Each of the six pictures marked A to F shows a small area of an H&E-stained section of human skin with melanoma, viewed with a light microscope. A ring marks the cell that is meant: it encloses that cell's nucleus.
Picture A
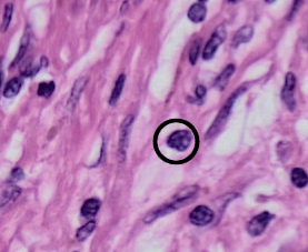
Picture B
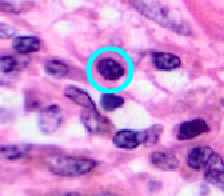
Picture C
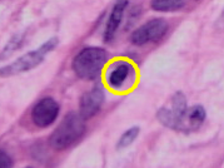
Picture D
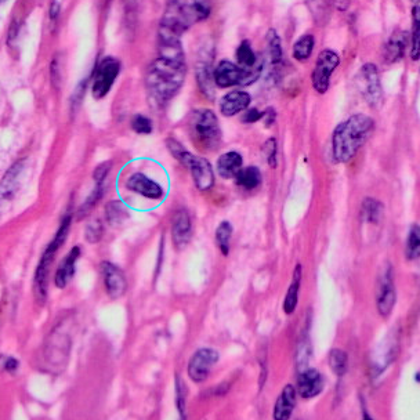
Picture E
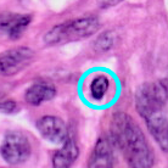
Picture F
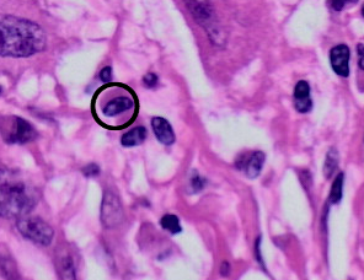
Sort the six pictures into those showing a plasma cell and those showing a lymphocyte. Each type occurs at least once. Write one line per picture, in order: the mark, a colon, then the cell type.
A: lymphocyte
B: plasma cell
C: lymphocyte
D: lymphocyte
E: lymphocyte
F: plasma cell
